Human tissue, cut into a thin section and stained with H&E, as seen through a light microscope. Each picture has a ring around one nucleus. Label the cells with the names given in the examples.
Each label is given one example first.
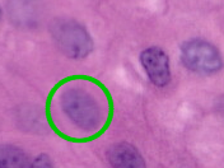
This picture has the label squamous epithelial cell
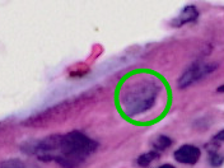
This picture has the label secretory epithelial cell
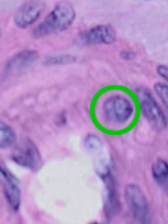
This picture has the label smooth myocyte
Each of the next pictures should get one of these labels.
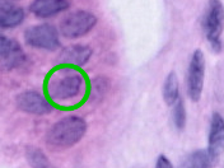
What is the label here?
secretory epithelial cell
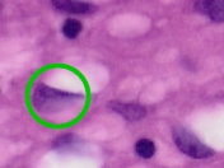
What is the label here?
squamous epithelial cell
